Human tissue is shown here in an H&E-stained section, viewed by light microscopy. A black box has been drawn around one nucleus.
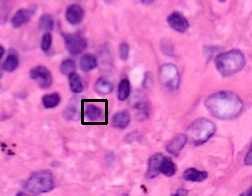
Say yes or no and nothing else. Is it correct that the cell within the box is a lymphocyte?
yes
